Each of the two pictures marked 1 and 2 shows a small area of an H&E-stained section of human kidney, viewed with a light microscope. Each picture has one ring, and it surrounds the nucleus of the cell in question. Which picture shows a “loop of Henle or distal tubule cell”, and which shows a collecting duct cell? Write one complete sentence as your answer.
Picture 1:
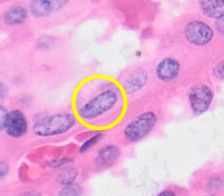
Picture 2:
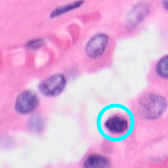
Picture 2 shows a “loop of Henle or distal tubule cell”, while picture 1 shows a collecting duct cell.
